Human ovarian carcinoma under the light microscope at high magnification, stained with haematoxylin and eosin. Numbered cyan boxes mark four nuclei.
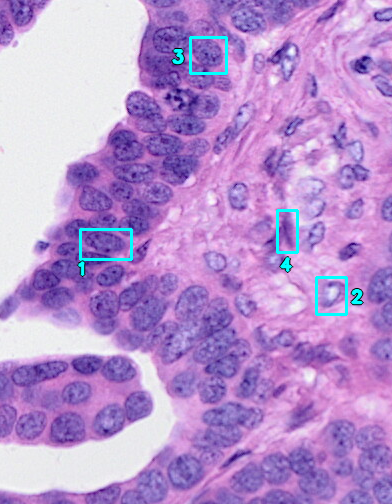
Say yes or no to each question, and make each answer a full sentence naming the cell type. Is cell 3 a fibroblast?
No, cell 3 is not a fibroblast, but is instead a carcinoma cell.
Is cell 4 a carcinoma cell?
No, the cell with number 4 is not a carcinoma cell but a fibroblast.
